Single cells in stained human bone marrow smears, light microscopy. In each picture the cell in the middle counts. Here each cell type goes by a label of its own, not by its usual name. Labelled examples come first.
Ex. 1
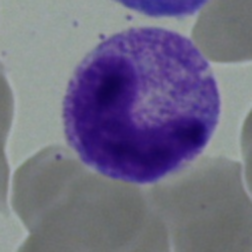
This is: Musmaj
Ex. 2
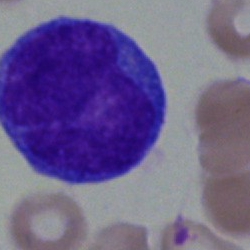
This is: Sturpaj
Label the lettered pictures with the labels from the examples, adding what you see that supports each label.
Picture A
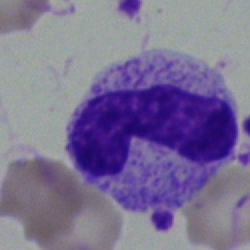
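Musmaj: The nucleus is a thick curved band with its concave side facing downward.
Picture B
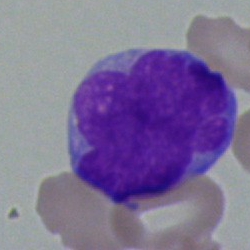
Sturpaj: The nucleus fills most of the cell.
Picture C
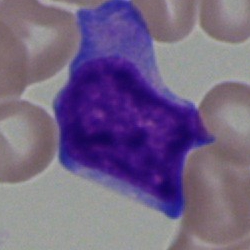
Sturpaj: The nucleus fills most of the cell.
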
